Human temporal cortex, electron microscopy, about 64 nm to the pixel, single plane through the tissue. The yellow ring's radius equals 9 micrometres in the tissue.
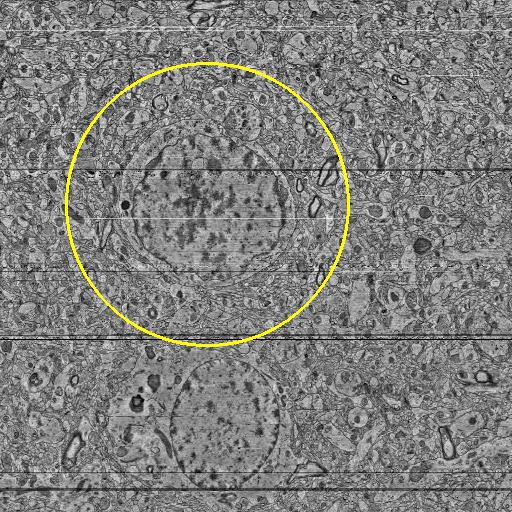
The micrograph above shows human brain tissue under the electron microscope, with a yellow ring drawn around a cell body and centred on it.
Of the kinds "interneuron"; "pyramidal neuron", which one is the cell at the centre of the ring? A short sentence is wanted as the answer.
The one at the centre of the ring is an interneuron.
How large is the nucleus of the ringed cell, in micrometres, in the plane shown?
About 10 micrometres across in this plane, for the nucleus.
